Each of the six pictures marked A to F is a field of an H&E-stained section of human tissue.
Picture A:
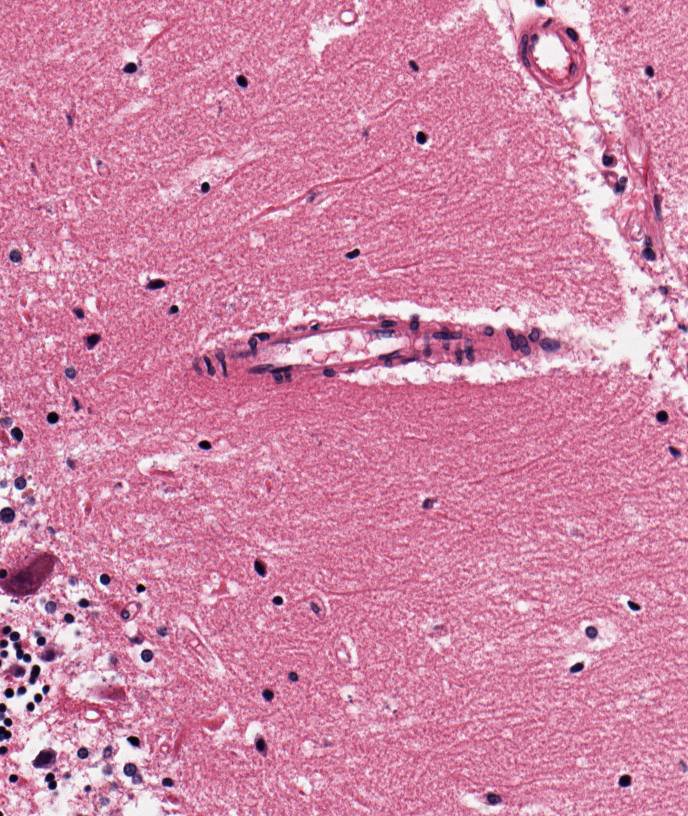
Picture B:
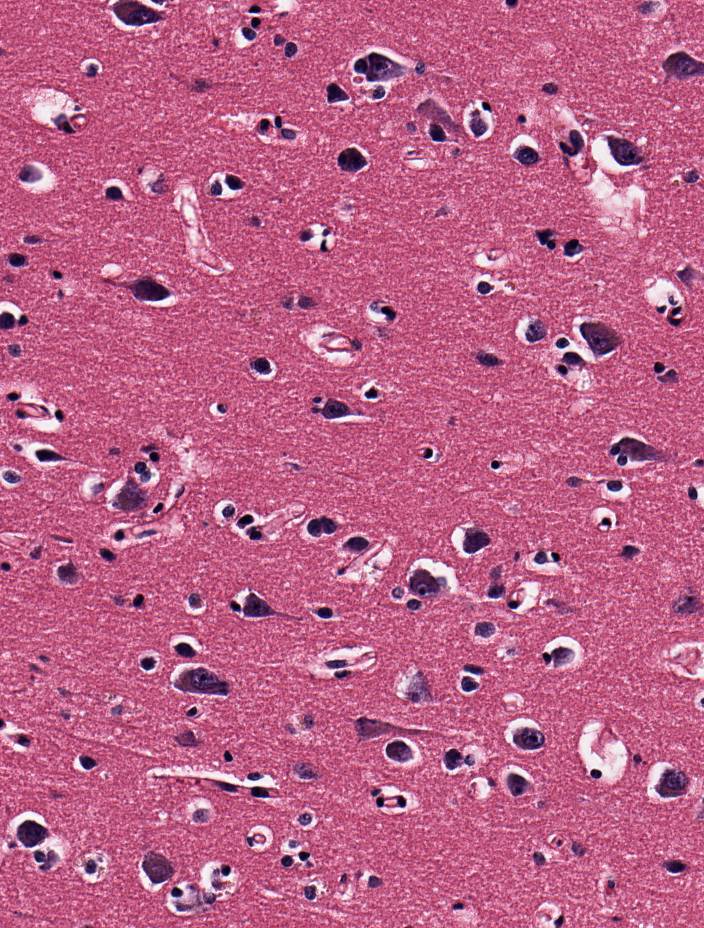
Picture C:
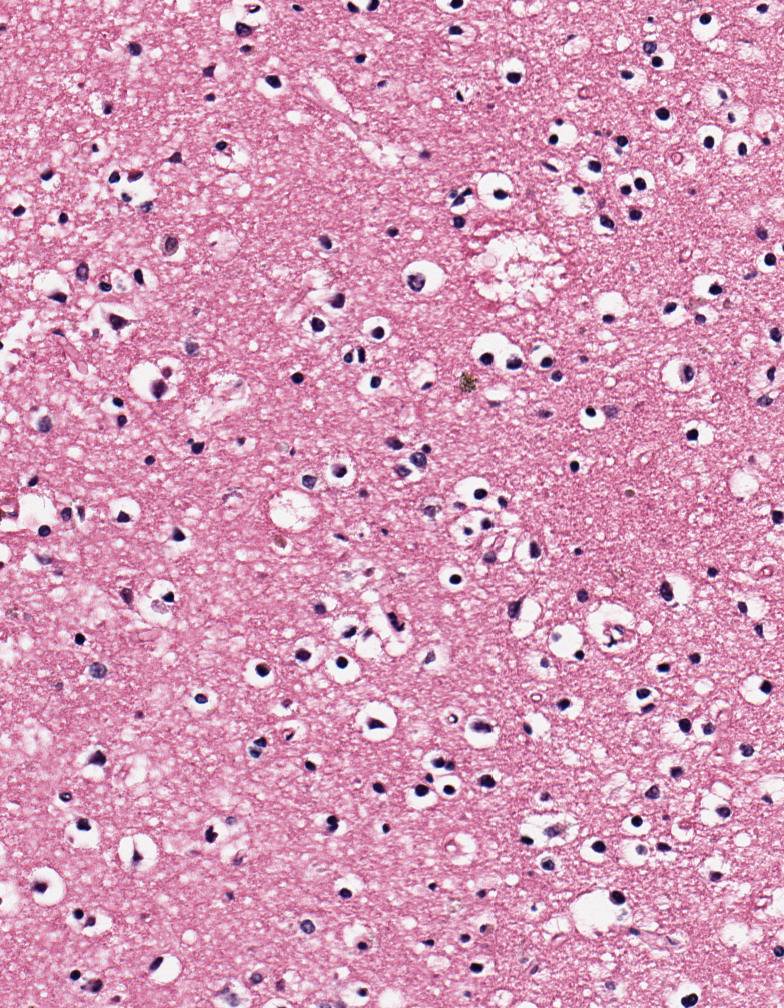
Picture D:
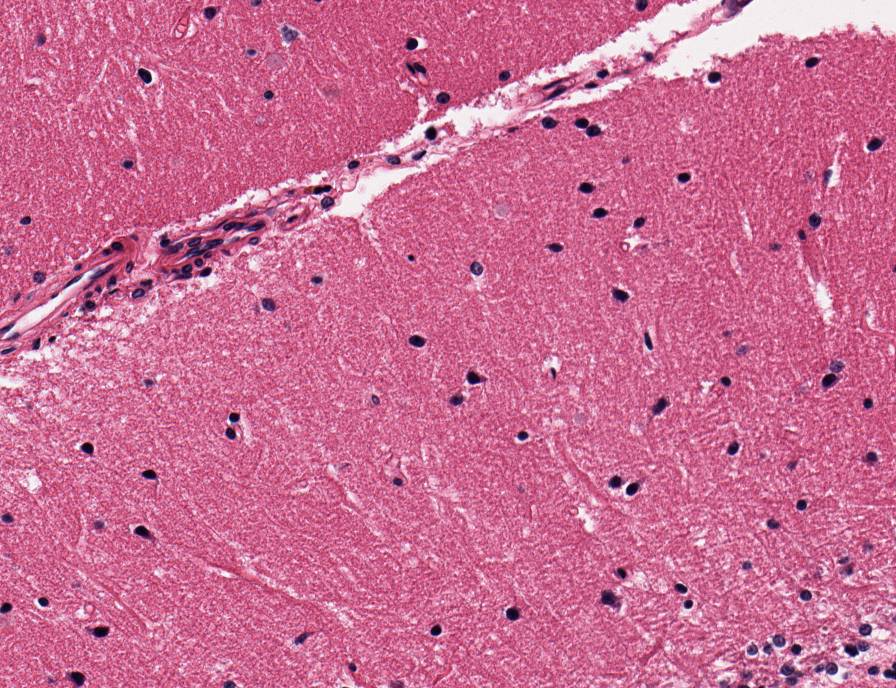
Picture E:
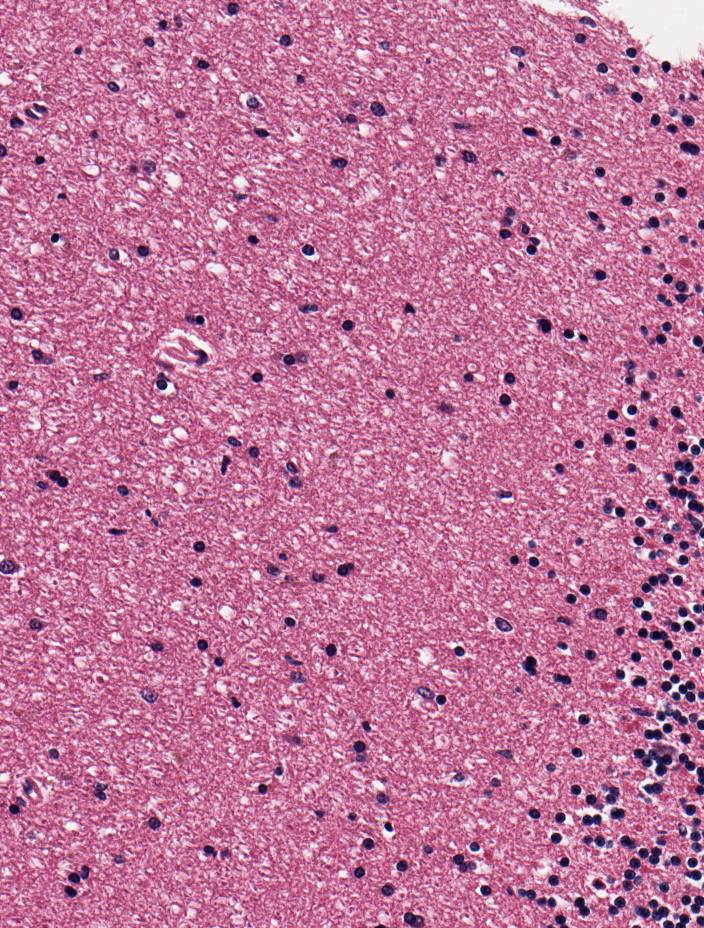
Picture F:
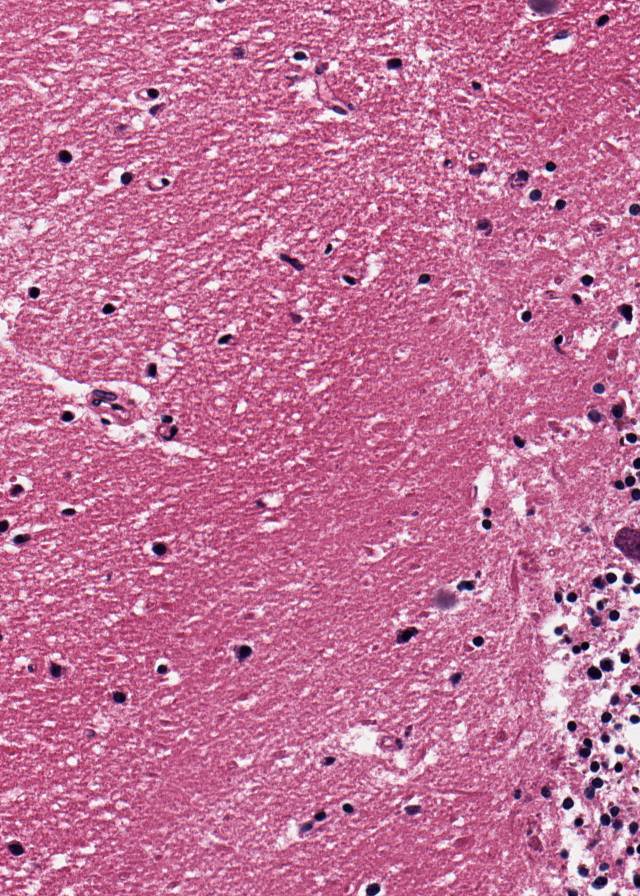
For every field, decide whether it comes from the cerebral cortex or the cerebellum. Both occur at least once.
A: cerebellum
B: cerebral cortex
C: cerebral cortex
D: cerebellum
E: cerebellum
F: cerebellum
